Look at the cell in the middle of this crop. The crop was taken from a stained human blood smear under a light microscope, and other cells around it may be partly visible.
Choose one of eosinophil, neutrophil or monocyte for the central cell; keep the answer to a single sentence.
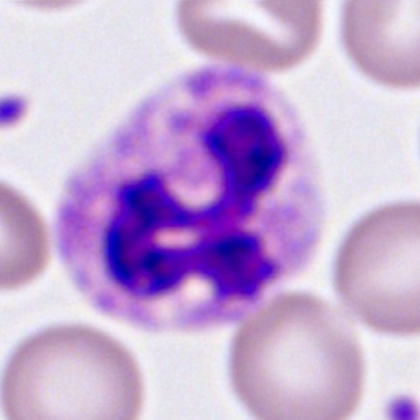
The cell of interest, located centrally, is a neutrophil.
